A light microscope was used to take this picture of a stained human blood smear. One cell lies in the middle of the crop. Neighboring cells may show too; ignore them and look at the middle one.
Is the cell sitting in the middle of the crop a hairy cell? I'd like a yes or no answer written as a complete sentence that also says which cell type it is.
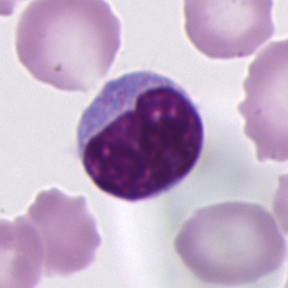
No, the central cell is not a hairy cell, being instead a typical lymphocyte.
